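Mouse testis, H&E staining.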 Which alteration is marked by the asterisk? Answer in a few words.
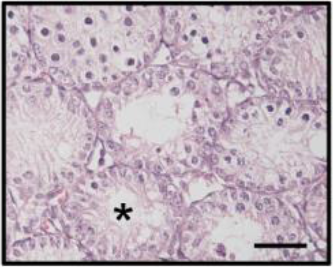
Vacuolated seminiferous tubules.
